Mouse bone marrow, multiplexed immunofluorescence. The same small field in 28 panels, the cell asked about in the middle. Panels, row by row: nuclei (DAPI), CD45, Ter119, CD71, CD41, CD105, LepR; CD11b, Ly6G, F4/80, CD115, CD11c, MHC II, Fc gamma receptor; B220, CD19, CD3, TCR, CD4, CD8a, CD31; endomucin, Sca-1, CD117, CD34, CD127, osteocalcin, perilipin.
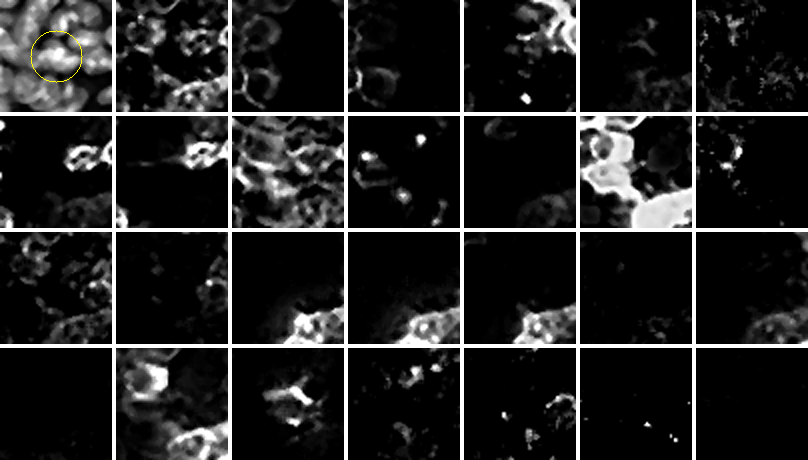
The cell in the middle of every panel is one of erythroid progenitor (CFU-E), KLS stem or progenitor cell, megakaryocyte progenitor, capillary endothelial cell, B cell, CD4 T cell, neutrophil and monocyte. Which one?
KLS stem or progenitor cell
